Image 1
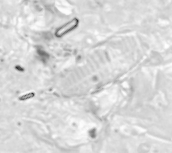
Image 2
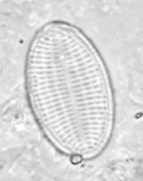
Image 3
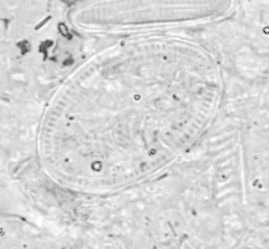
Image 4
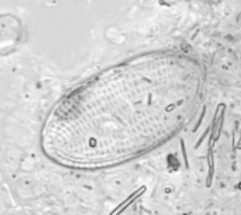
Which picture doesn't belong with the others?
Picture 1.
